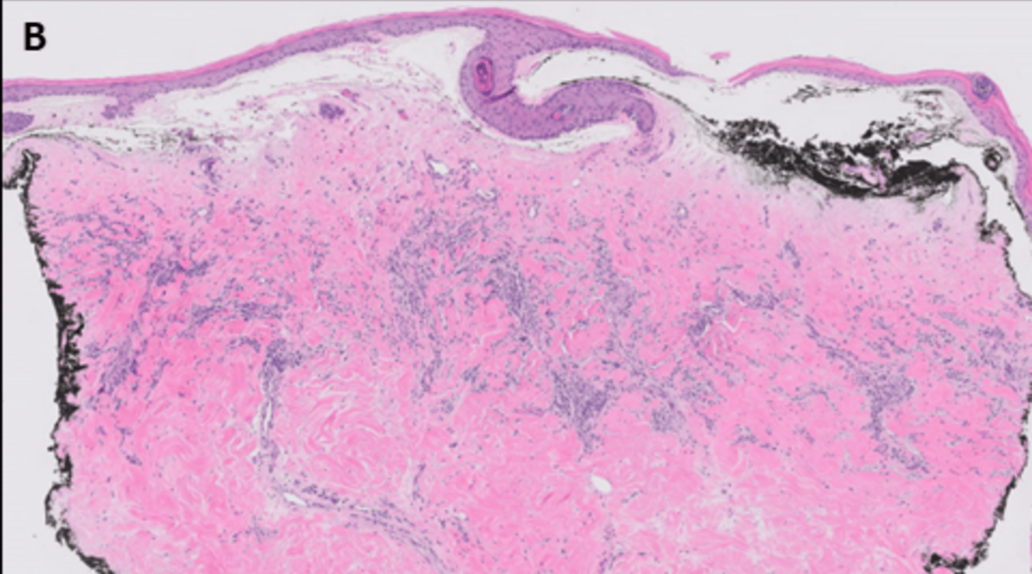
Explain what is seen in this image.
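This low-power view of skin shows a subepidermal bulla, with the thin epidermis lifted off the dermis along a wide cleft. The roof of the blister is formed by an atrophic epidermis with a thin layer of surface keratin, and a hair follicle dips down at the center. The floor of the cleft is pale, loose upper dermis with homogenized collagen. Beneath this zone, the dermis contains a dense infiltrate of small cells with dark purple round nuclei. The infiltrate forms bands and clusters among the pink collagen bundles and around vessels.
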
